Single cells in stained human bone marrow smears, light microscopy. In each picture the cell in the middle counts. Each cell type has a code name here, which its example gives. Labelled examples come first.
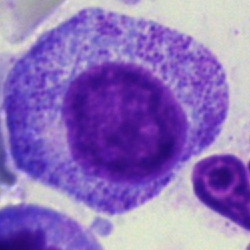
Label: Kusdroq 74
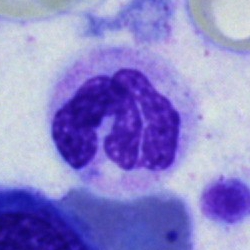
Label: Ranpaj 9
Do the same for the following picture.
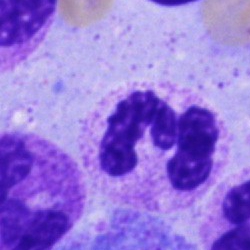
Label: Ranpaj 9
